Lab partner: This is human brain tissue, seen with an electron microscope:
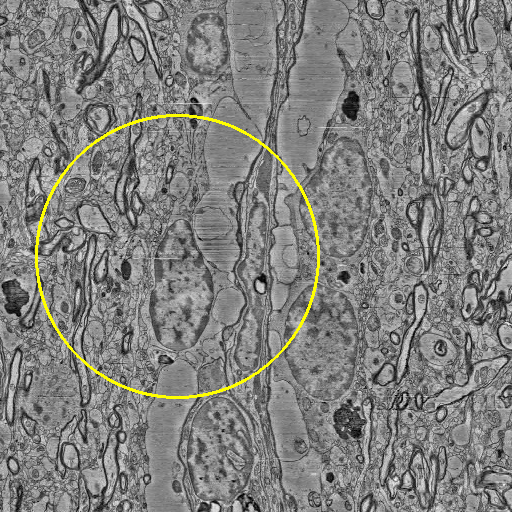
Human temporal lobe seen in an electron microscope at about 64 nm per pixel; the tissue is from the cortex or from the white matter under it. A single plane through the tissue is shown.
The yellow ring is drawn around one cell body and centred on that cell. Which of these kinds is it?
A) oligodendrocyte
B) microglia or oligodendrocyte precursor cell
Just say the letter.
B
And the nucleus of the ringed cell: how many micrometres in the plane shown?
In this plane, approximately 8 by 4 micrometers.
